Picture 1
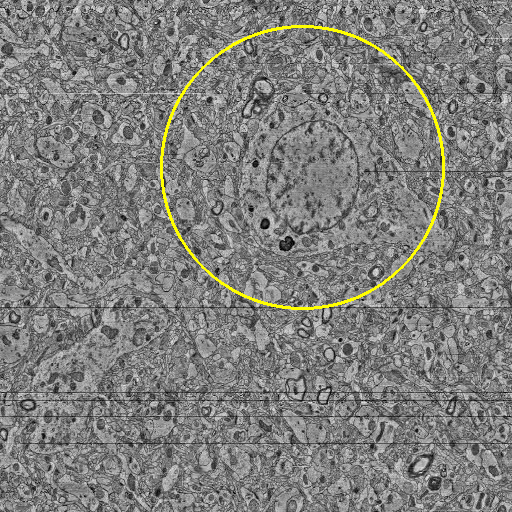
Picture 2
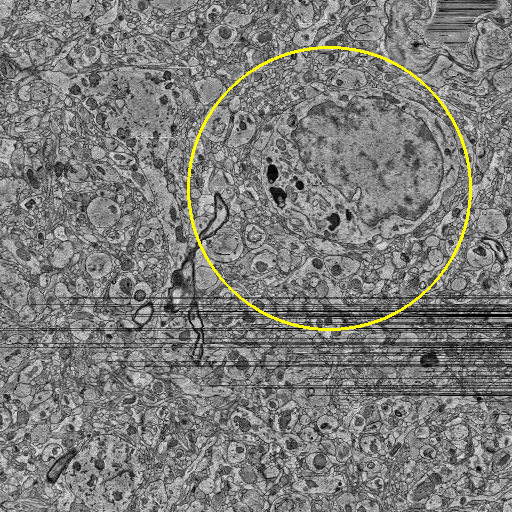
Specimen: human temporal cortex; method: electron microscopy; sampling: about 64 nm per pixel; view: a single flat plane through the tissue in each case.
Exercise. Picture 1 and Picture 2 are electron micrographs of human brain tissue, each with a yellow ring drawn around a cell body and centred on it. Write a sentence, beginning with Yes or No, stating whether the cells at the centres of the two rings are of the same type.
No, the cells at the centres of the rings are of two types.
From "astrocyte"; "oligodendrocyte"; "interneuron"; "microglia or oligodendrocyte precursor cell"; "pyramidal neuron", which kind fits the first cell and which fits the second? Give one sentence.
The cell marked in the first picture is a pyramidal neuron, and the one marked in the second is an interneuron.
